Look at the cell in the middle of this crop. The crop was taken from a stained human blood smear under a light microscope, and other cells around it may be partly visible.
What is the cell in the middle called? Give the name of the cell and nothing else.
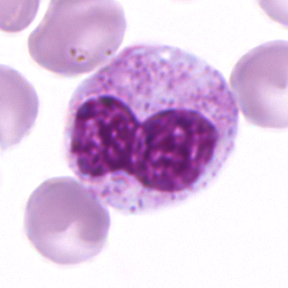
band neutrophil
